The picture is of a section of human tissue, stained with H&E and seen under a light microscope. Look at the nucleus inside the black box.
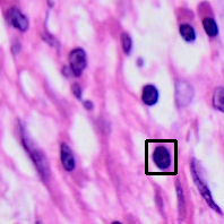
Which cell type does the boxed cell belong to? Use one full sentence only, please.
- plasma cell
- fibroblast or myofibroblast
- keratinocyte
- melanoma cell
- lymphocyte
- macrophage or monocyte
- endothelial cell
The identity of the boxed cell is that of a plasma cell.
